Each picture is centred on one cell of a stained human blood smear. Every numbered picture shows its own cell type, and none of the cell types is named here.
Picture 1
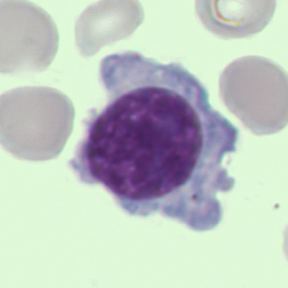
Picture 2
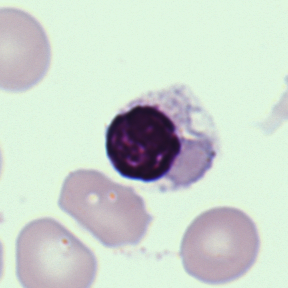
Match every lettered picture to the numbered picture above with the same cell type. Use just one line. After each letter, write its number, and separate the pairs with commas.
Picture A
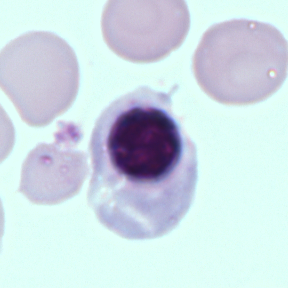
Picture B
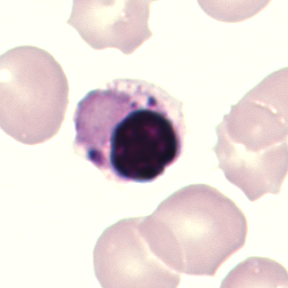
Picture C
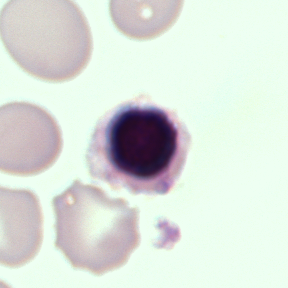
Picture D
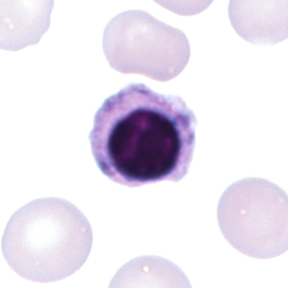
A 2, B 2, C 2, D 2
